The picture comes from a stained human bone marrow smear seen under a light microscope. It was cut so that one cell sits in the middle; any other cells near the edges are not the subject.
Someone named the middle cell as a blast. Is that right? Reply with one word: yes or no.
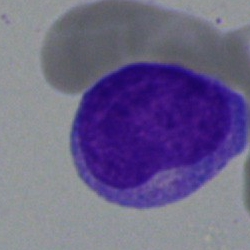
yes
